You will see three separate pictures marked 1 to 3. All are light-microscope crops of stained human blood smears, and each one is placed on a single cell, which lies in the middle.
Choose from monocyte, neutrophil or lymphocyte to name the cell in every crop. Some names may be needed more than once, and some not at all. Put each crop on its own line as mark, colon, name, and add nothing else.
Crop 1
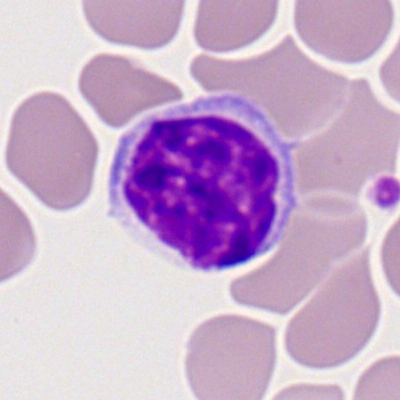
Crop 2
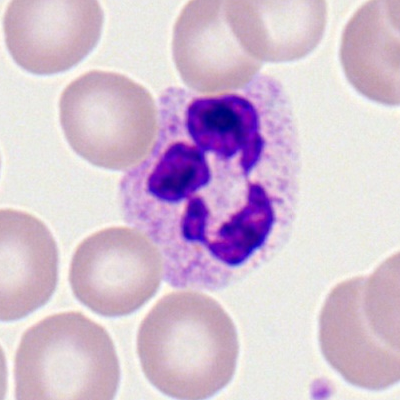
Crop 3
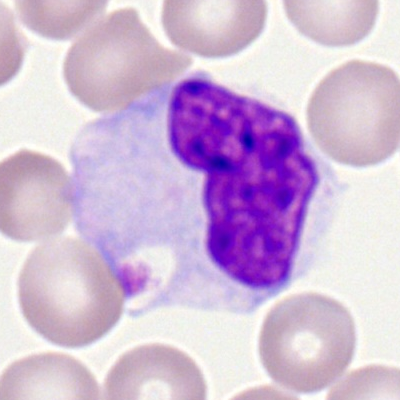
1: lymphocyte
2: neutrophil
3: monocyte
